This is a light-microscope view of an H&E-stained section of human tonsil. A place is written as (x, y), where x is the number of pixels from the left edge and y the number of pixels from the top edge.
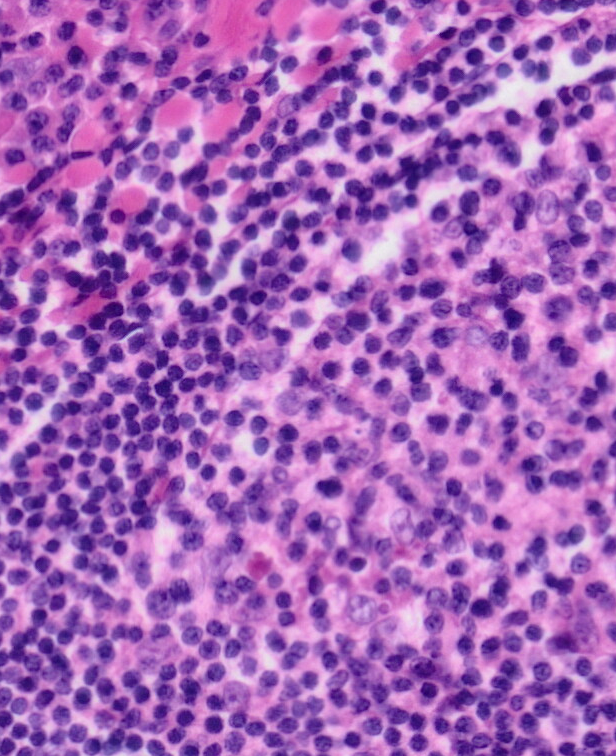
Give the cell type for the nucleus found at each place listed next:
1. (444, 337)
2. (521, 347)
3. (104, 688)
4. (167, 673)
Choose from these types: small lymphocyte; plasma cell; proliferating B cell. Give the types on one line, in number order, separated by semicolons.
proliferating B cell; proliferating B cell; small lymphocyte; small lymphocyte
